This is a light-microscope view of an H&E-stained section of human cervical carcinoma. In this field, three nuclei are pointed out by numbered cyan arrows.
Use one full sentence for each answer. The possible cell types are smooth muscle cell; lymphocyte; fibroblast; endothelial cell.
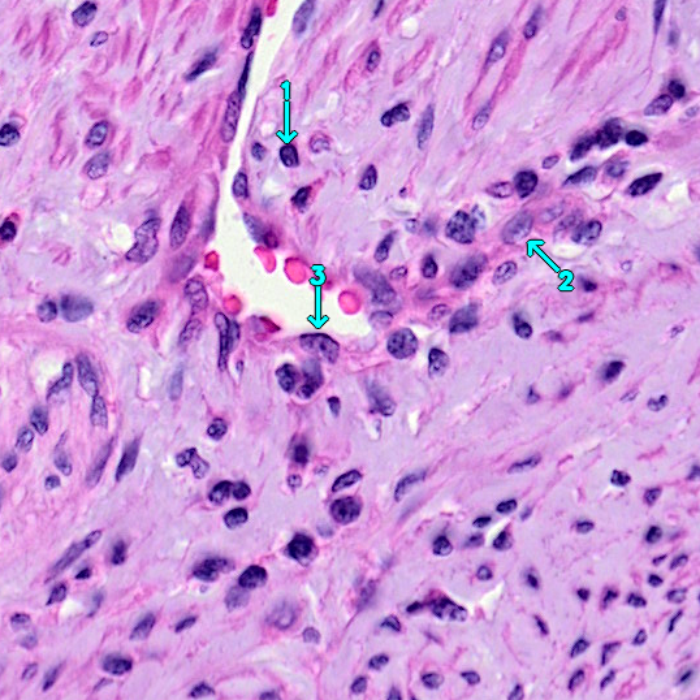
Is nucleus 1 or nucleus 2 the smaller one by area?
Nucleus 1 covers less area, with nucleus 2 about 2 times as large.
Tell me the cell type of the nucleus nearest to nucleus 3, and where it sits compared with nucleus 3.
Just below nucleus 3 lies the nearest nucleus, which belongs to a lymphocyte.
